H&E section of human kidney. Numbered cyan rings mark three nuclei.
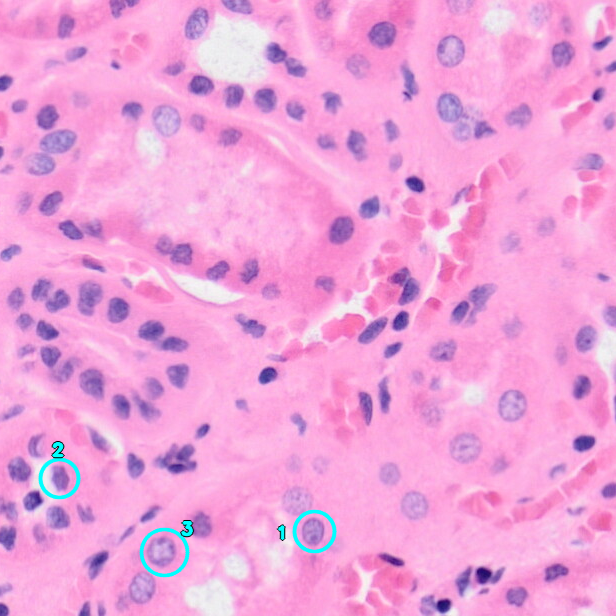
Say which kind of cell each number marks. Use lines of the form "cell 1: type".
cell 1: proximal tubule cell
cell 2: loop of Henle or distal tubule cell
cell 3: proximal tubule cell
